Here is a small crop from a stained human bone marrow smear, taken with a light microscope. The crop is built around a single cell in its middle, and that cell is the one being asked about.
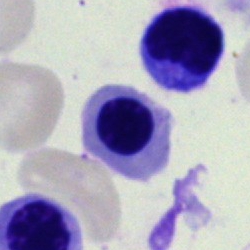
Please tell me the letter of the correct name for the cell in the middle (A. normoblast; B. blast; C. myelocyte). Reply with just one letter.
A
